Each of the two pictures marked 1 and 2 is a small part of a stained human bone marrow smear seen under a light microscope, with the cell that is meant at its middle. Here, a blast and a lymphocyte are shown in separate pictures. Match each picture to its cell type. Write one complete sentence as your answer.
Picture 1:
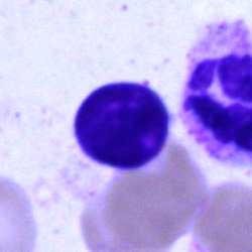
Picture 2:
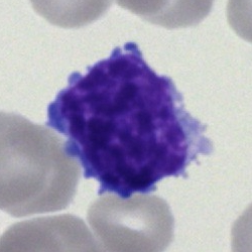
The cell in picture 1 is a lymphocyte, and the one in picture 2 is a blast.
